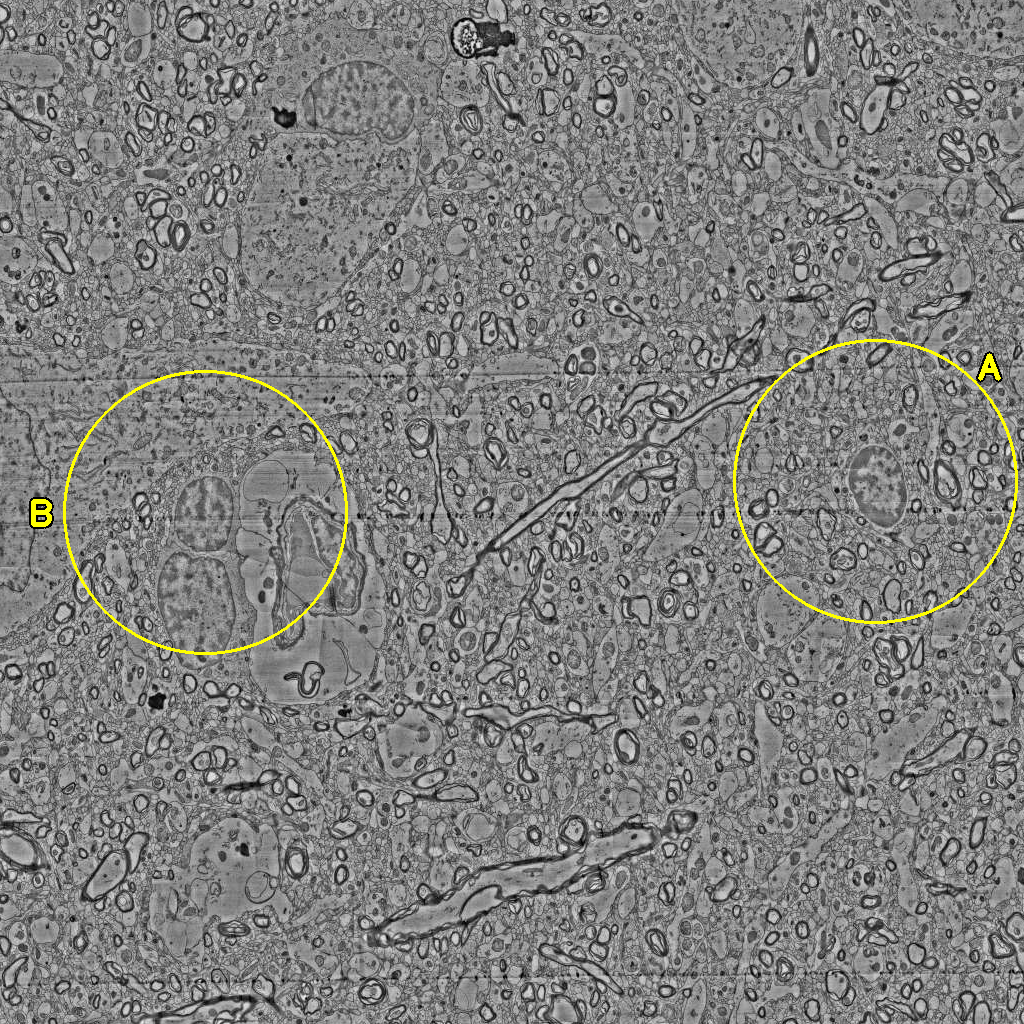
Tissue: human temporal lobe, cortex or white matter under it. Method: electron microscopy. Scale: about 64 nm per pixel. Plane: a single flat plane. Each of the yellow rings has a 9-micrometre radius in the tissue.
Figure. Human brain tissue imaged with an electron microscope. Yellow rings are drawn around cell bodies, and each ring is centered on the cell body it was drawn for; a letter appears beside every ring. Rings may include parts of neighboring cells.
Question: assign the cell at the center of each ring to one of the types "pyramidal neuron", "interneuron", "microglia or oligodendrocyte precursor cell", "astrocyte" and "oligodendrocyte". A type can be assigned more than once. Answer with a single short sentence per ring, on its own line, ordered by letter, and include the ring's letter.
Centered in ring A is a microglial cell or oligodendrocyte precursor cell.
Centered in ring B is an oligodendrocyte.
